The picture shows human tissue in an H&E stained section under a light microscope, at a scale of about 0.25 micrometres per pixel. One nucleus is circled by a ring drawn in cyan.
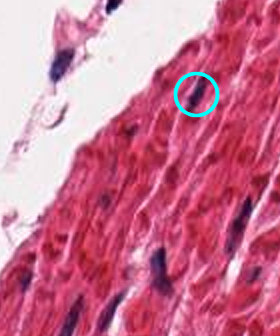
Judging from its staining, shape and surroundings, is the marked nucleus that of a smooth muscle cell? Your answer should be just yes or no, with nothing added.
yes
